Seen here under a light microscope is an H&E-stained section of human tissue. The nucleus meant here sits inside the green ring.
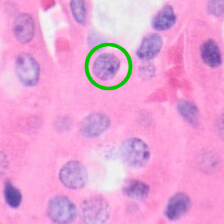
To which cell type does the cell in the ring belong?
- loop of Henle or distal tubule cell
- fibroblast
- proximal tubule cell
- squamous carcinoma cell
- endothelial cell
loop of Henle or distal tubule cell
